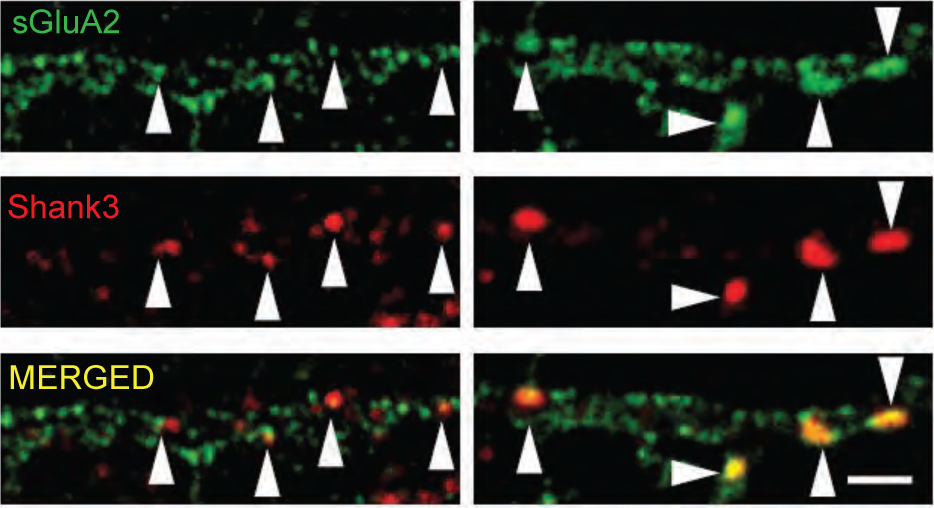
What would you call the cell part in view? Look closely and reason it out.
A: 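Neuron dendrites. Thin elongated processes run horizontally across each image. Small punctate spots line the processes along their length.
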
